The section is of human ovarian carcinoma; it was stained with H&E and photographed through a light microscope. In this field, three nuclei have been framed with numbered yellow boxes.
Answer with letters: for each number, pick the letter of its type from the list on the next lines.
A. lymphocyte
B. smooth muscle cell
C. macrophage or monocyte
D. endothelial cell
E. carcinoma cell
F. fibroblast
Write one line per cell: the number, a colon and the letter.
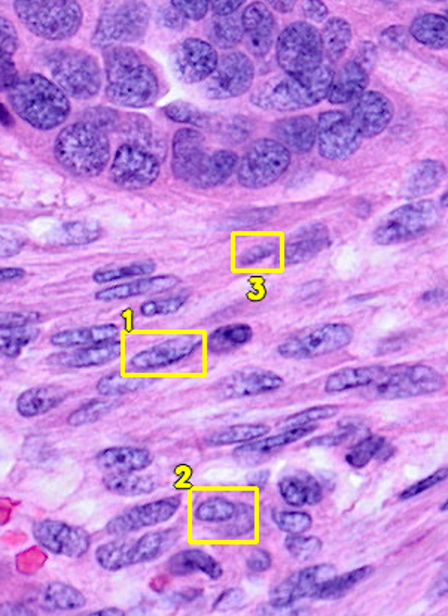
1: F
2: D
3: F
